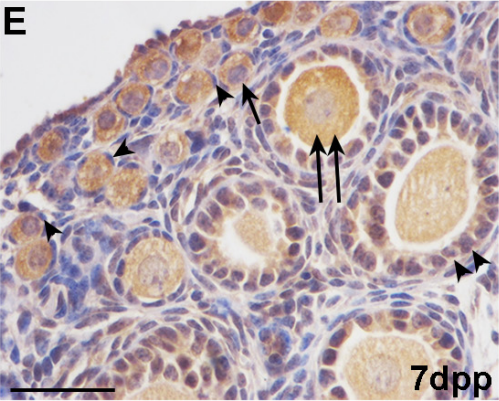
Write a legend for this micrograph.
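This is ovarian tissue with follicles at different stages: small follicles crowded just under the surface and larger follicles deeper in. The large oocytes have brown-stained cytoplasm and a pale round nucleus, and are surrounded by a clear ring and a layer of cube-shaped granulosa cells, which are also brownish. Near the surface, smaller oocytes are wrapped only by thin, flattened cells whose nuclei stay blue. Between the follicles lies stroma of small blue spindle-shaped cells.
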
